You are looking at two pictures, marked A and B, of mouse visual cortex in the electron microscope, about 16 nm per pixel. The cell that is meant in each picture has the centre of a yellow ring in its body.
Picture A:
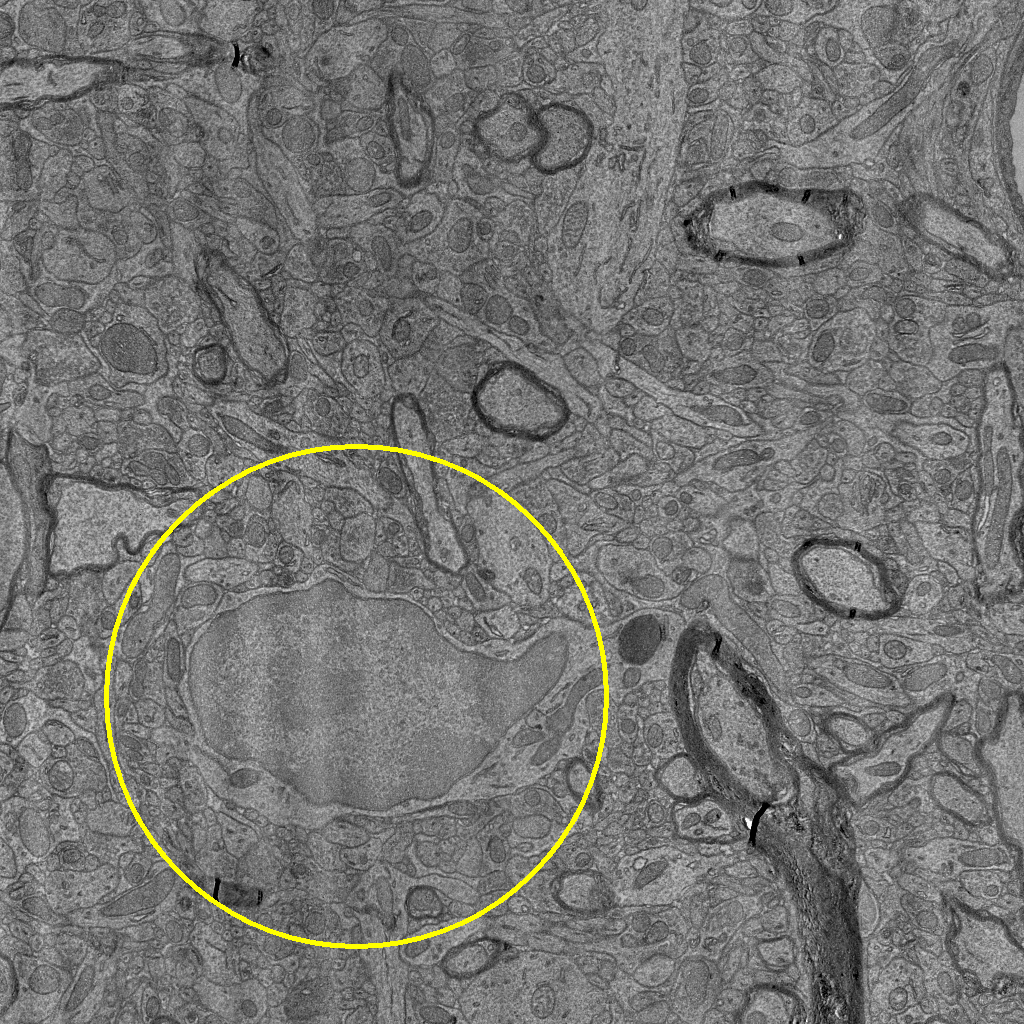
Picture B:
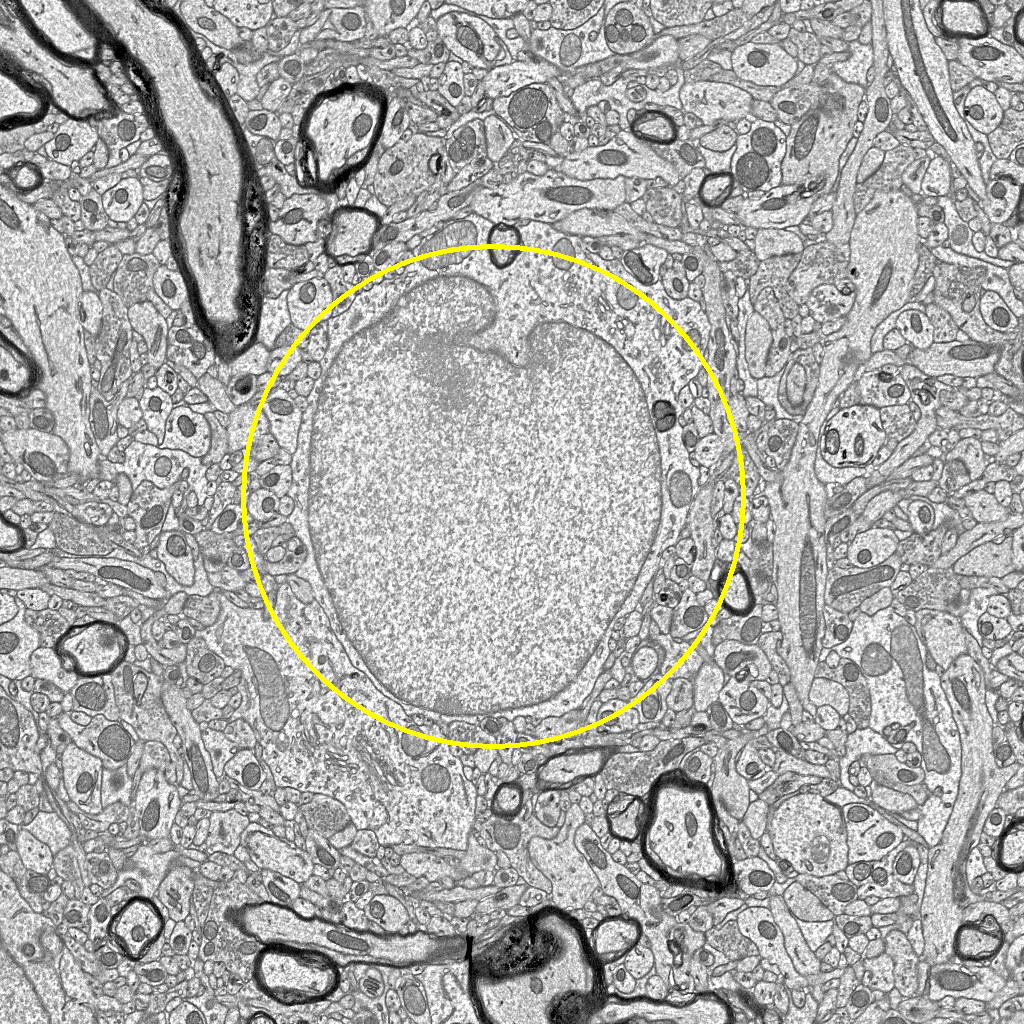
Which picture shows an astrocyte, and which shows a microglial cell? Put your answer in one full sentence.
Picture A is of a microglial cell, and picture B is of an astrocyte.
